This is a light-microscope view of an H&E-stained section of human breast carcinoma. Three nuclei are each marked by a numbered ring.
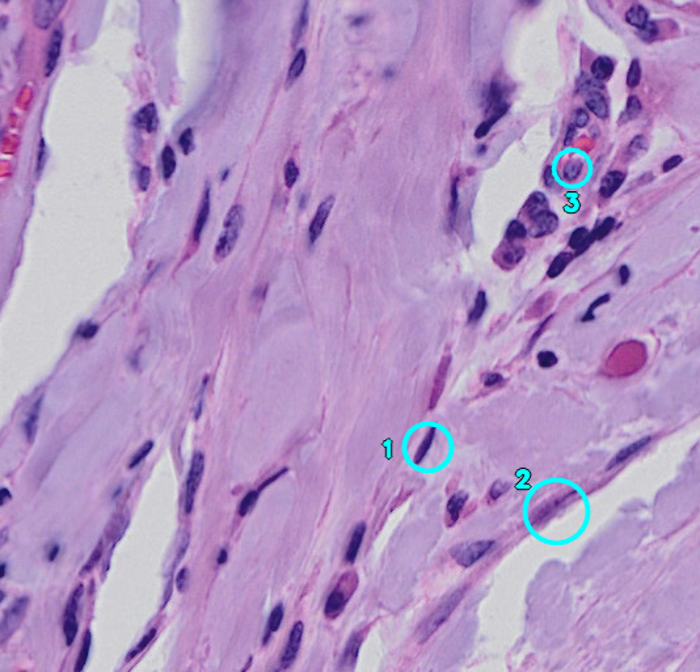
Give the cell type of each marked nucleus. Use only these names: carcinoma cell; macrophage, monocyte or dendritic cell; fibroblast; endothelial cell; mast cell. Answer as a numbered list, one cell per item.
1. fibroblast
2. fibroblast
3. endothelial cell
